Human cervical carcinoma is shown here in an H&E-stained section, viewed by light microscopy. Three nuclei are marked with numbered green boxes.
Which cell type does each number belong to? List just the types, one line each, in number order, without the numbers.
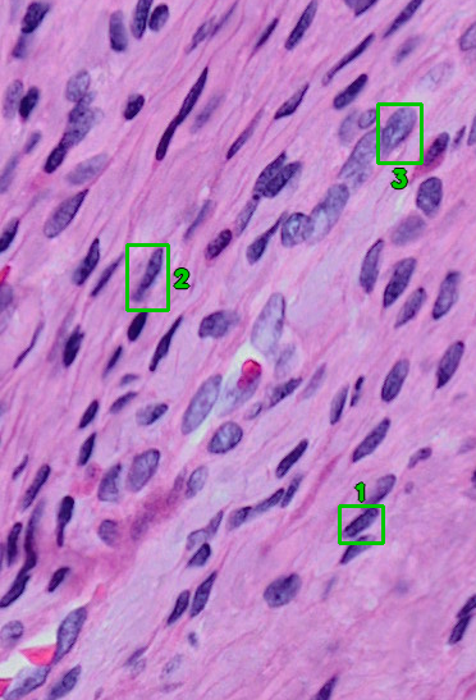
fibroblast
fibroblast
endothelial cell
